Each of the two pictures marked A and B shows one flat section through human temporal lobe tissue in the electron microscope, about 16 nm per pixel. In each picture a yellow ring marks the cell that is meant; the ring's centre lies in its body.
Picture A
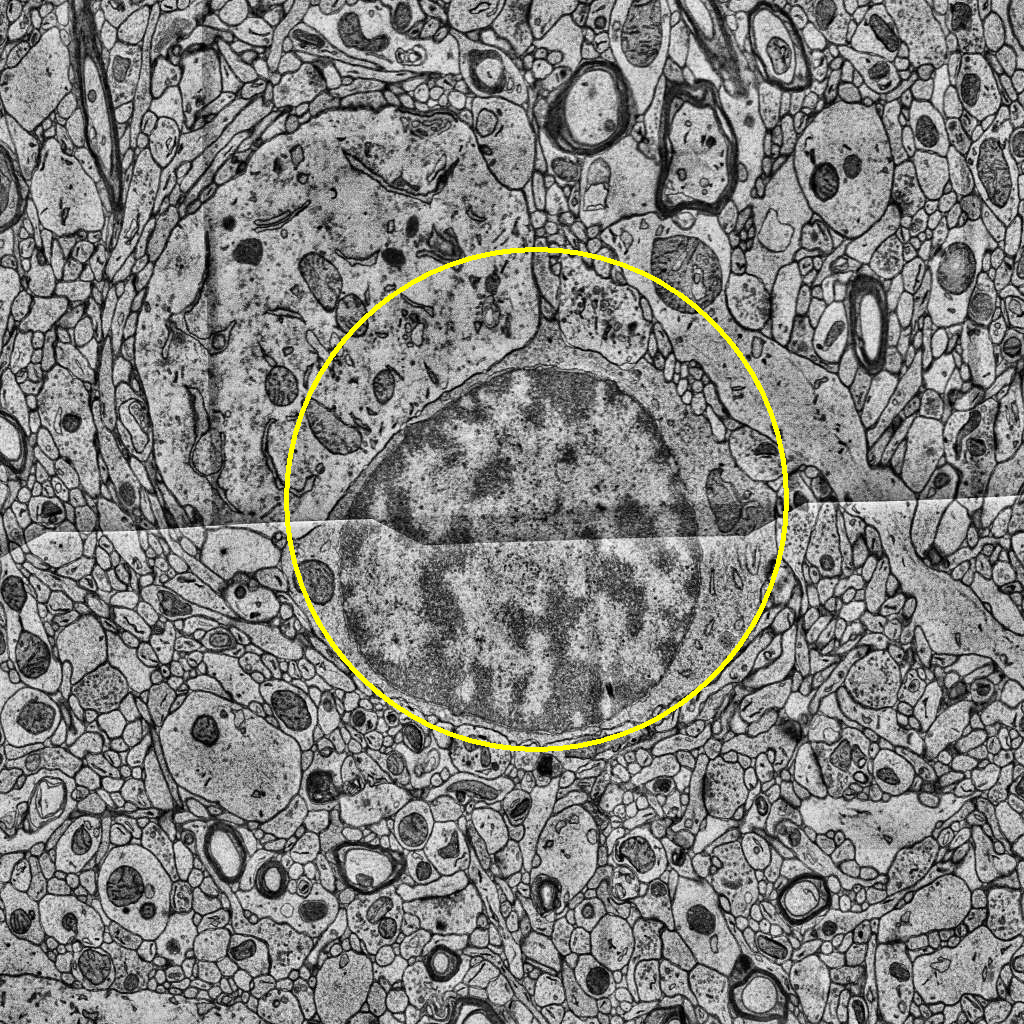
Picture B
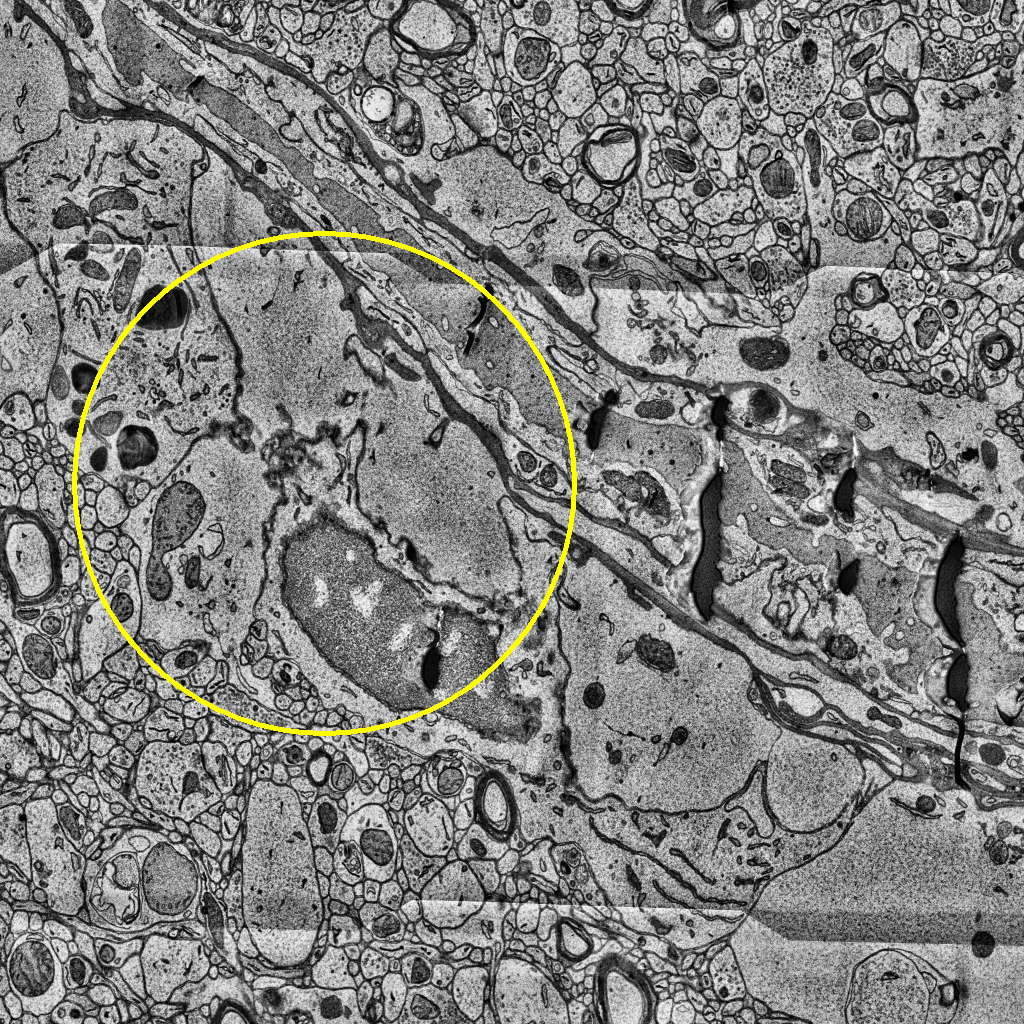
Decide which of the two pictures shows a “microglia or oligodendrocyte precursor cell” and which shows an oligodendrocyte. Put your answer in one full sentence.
Picture A is of an oligodendrocyte, and picture B is of a “microglia or oligodendrocyte precursor cell”.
